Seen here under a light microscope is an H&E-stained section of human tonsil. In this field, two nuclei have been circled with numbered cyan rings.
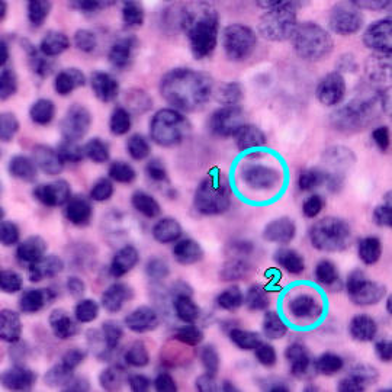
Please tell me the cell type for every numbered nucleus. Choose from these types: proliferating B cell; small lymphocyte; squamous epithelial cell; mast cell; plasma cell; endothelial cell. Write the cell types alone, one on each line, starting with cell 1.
proliferating B cell
small lymphocyte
